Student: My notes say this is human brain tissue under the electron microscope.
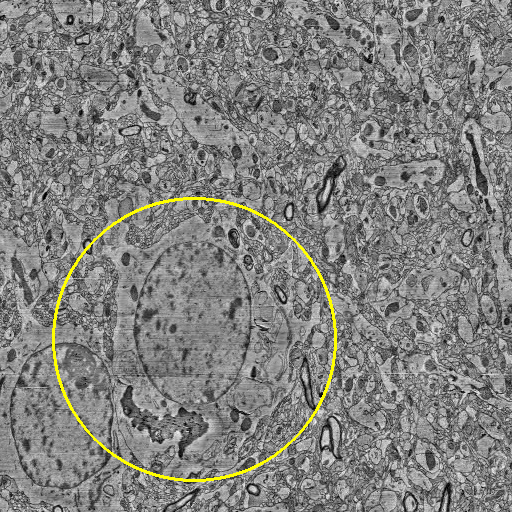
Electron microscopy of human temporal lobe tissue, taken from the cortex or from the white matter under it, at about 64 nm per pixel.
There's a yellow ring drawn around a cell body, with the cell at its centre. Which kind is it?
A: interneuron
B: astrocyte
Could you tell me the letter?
B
